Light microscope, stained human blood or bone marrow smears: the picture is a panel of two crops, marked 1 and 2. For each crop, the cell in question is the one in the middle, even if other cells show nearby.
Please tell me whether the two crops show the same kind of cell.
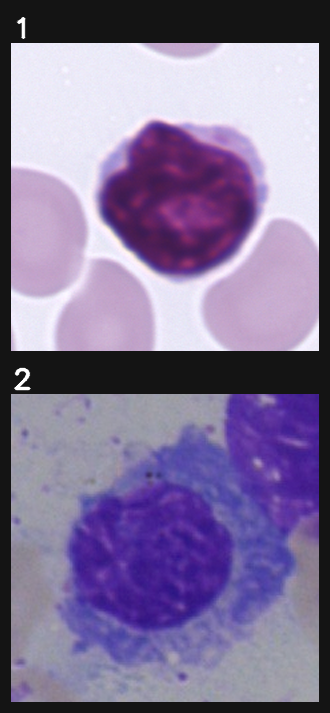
no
